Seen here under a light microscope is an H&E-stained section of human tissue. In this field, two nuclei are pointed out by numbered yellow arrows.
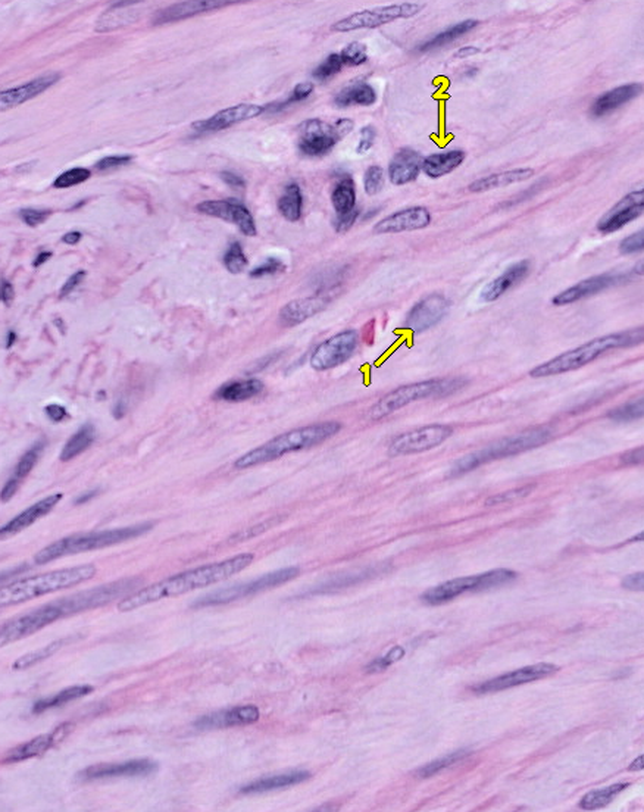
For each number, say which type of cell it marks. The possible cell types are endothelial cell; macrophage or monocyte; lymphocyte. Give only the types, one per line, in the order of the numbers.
endothelial cell
lymphocyte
